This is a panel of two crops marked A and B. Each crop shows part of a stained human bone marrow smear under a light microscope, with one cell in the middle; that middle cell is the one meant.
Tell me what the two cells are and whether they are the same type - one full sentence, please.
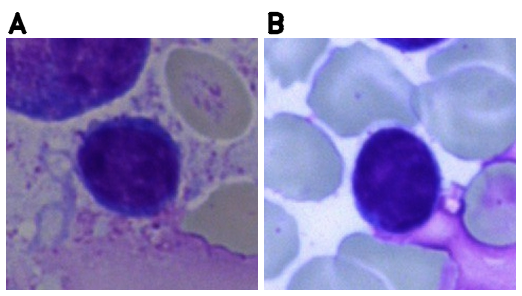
Yes, as shown in both crops, the central cells are lymphocytes.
